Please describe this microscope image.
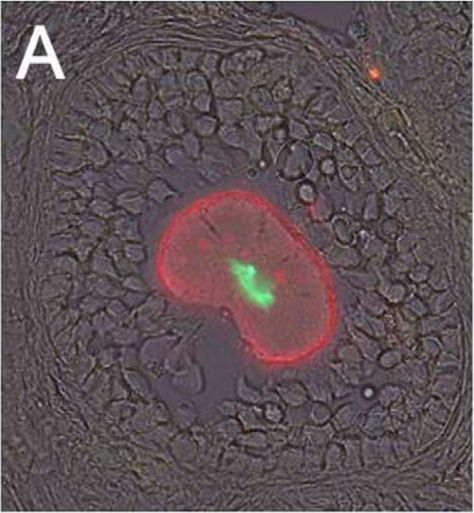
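An ovarian follicle is seen, with a single large oocyte at its centre surrounded by many small, closely packed polygonal granulosa cells, and enclosed by thin, flattened concentric layers of theca cells. The oocyte has a kidney-shaped outline drawn in red, with a faint red interior, and an irregular green patch lies near its centre.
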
